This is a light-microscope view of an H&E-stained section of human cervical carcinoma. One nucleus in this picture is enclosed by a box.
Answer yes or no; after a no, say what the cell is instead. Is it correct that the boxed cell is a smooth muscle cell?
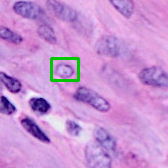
Yes.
